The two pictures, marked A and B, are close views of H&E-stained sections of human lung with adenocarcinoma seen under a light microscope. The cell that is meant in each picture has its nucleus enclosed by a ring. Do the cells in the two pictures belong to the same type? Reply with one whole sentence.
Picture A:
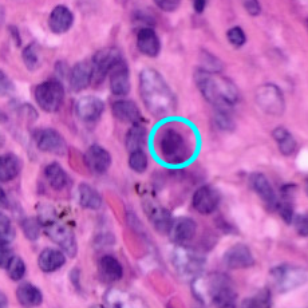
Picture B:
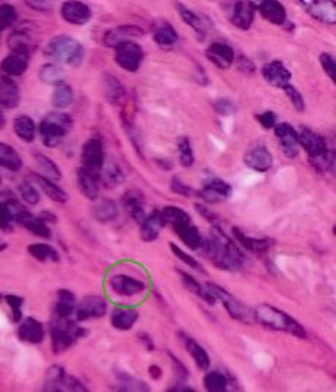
No. Picture A shows a plasma cell, but picture B shows a lymphocyte.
